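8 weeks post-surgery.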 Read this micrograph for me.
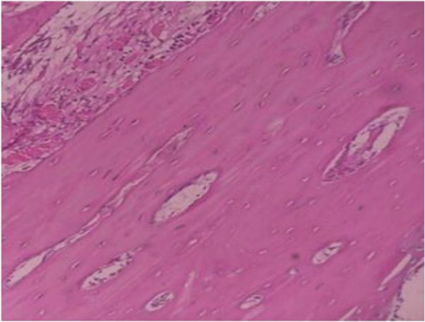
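The pink matrix is dense and laid down in parallel sheets, with small lacunae holding flattened bone cells scattered evenly through it. Running through the matrix are narrow, elongated canals, mostly aligned in the same direction, each containing a little loose tissue and small vessels lined by flat cells. In the upper left corner a looser, more cellular tissue with many small nuclei borders the bone. The overall impression is of orderly, mature-looking bone with regularly arranged vascular channels.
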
